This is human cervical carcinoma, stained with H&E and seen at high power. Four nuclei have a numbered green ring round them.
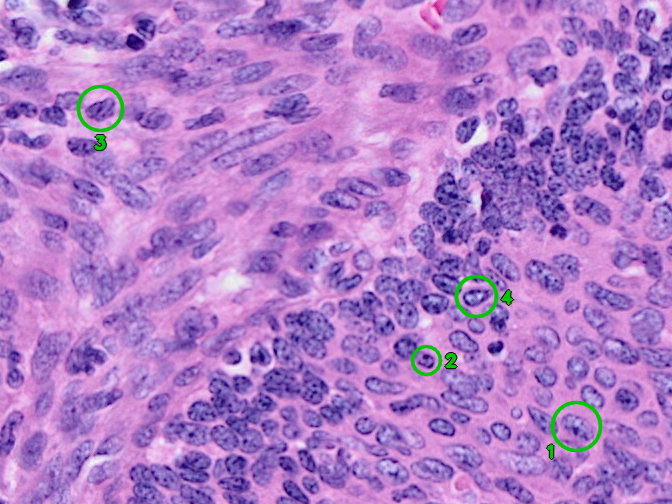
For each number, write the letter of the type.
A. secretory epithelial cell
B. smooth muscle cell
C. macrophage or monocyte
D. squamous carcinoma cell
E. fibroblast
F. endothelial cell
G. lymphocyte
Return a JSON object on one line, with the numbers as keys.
{"1": "D", "2": "D", "3": "G", "4": "D"}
